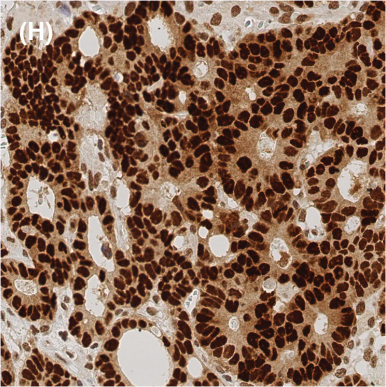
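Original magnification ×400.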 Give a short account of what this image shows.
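Densely crowded epithelial cells form solid sheets perforated by numerous small round to irregular gland-like spaces. Almost every nucleus is stained intensely dark brown, and the nuclei are oval and tightly packed. The cytoplasm also carries a lighter brown tint.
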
